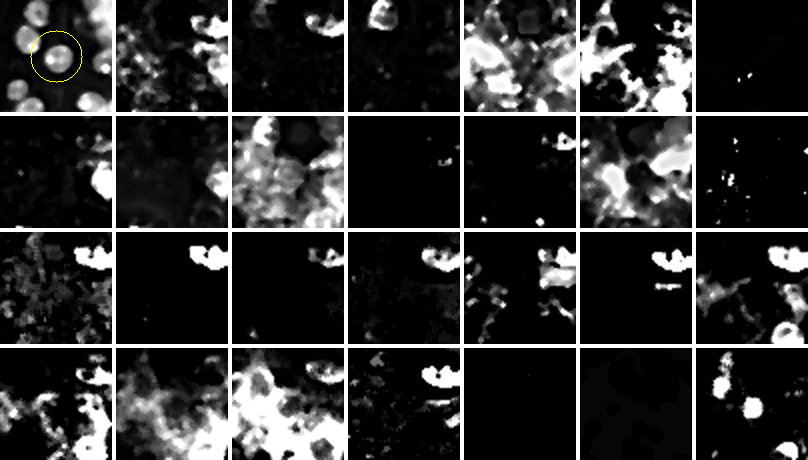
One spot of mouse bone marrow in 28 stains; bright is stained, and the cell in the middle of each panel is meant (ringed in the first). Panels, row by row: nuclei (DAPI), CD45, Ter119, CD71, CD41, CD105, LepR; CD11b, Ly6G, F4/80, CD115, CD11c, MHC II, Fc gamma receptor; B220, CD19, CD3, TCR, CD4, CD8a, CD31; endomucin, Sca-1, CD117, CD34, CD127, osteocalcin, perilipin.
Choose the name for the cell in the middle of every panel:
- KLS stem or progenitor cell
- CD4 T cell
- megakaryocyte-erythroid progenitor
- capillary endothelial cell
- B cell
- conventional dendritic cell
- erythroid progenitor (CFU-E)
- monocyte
KLS stem or progenitor cell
